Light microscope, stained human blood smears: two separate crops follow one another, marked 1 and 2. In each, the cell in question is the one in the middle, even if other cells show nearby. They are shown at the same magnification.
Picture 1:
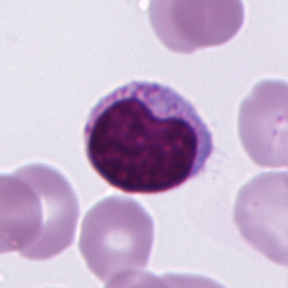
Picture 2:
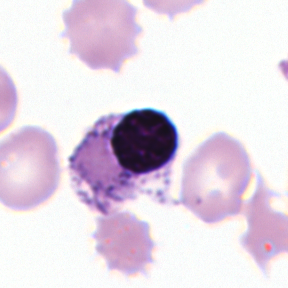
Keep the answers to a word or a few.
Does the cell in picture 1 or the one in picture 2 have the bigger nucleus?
1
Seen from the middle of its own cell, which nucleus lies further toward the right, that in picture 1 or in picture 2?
2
